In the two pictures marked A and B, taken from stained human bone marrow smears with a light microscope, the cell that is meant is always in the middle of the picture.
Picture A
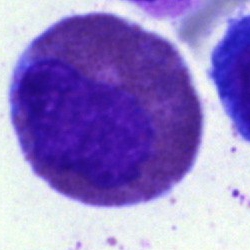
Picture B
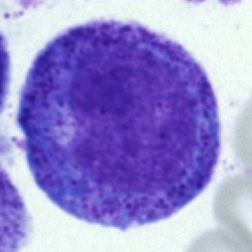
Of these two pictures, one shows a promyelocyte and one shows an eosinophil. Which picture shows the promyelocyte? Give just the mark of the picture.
B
